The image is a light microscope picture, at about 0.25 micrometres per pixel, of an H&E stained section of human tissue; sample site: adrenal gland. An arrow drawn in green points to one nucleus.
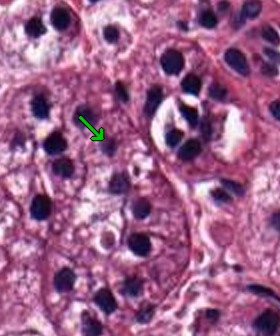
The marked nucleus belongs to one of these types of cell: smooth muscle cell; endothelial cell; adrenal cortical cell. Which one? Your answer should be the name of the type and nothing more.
adrenal cortical cell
